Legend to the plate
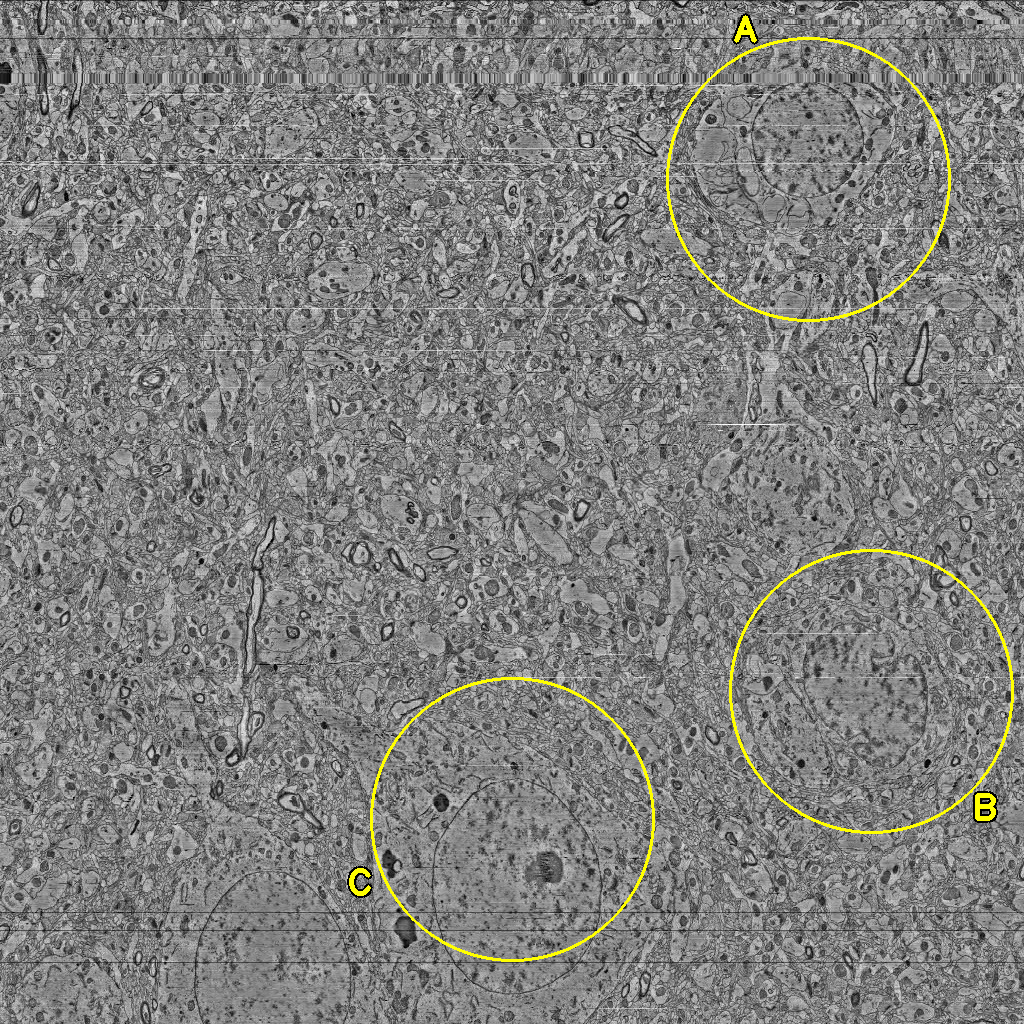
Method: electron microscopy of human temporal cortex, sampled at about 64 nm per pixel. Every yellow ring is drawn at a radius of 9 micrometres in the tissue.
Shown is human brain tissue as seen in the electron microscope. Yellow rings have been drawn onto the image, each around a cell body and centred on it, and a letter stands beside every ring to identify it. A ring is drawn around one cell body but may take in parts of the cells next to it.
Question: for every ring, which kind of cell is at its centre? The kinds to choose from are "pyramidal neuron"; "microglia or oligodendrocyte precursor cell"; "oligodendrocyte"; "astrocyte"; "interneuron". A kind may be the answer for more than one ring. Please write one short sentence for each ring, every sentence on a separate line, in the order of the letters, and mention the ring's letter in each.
The kind of cell at the centre of ring A is an astrocyte.
The kind of cell at the centre of ring B is an interneuron.
The kind of cell at the centre of ring C is a pyramidal neuron.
